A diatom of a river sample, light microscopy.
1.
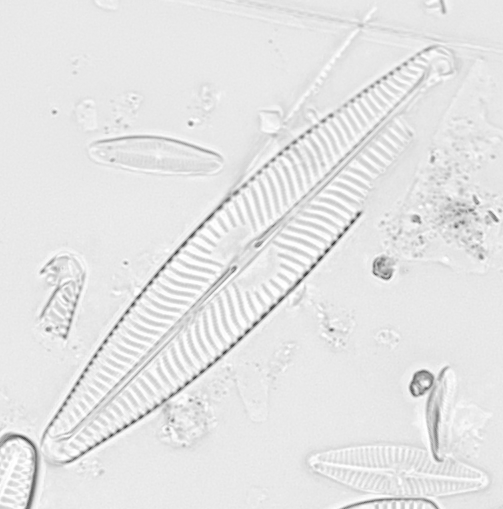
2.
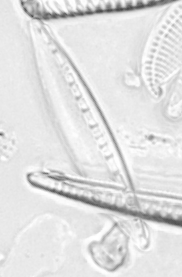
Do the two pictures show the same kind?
No: Navicula, then Nitzschia.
